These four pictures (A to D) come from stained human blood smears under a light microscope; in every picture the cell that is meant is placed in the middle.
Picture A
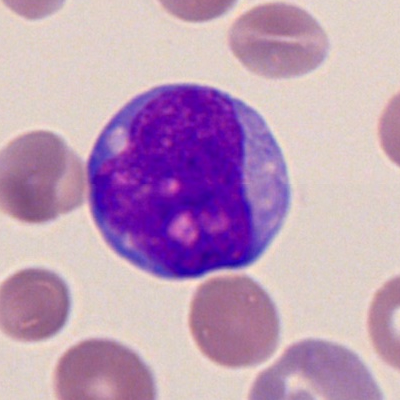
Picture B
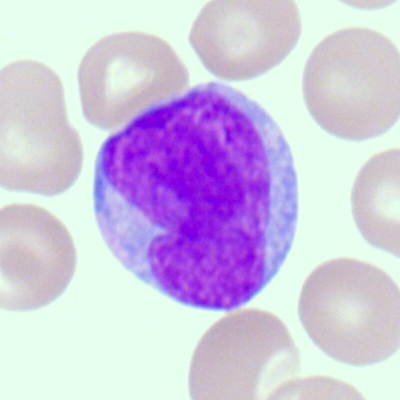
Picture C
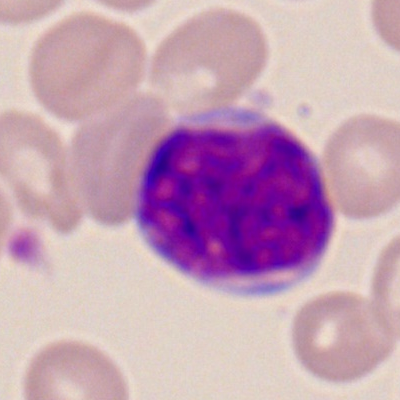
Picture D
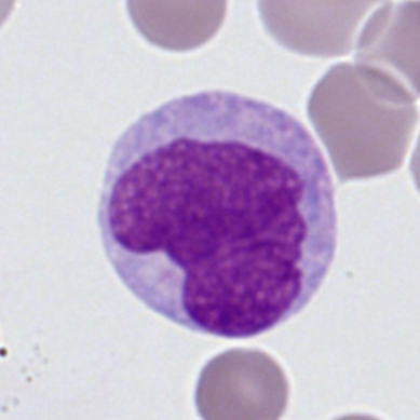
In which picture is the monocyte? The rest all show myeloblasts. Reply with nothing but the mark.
D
